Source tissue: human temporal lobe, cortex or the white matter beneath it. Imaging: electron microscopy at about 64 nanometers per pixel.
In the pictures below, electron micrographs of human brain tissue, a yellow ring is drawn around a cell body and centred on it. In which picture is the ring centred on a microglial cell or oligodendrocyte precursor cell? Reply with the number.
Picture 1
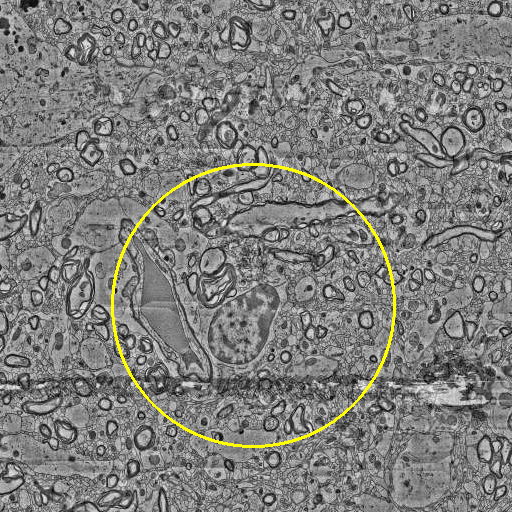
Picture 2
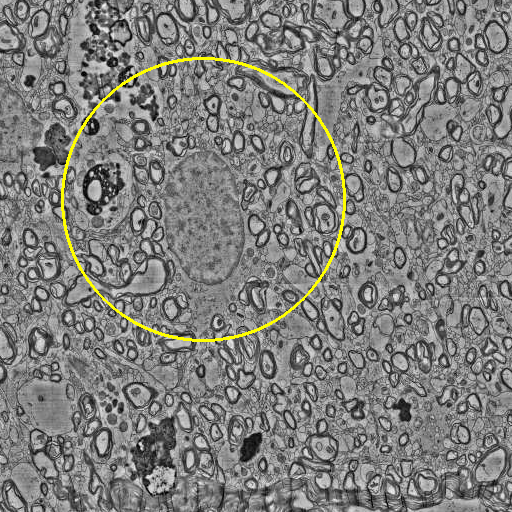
1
